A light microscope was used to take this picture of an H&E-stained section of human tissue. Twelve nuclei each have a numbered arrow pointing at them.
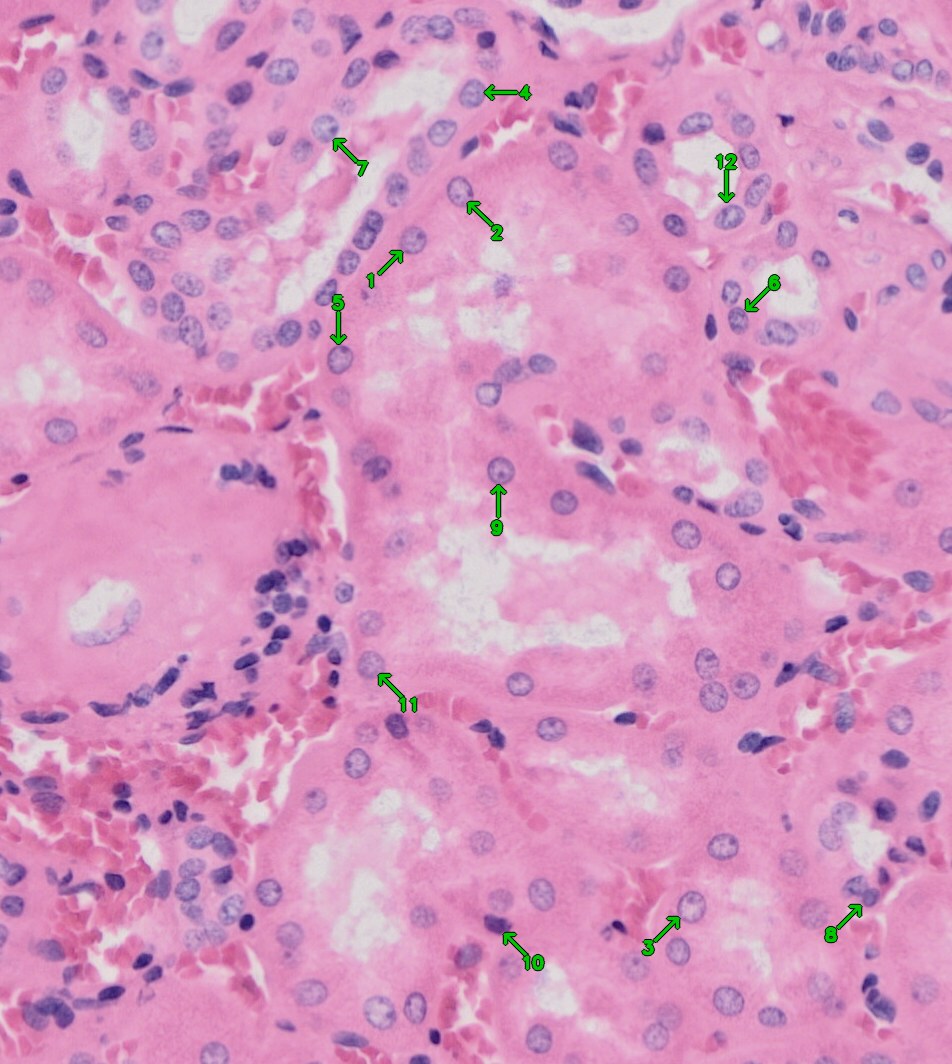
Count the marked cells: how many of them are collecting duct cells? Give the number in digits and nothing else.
5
